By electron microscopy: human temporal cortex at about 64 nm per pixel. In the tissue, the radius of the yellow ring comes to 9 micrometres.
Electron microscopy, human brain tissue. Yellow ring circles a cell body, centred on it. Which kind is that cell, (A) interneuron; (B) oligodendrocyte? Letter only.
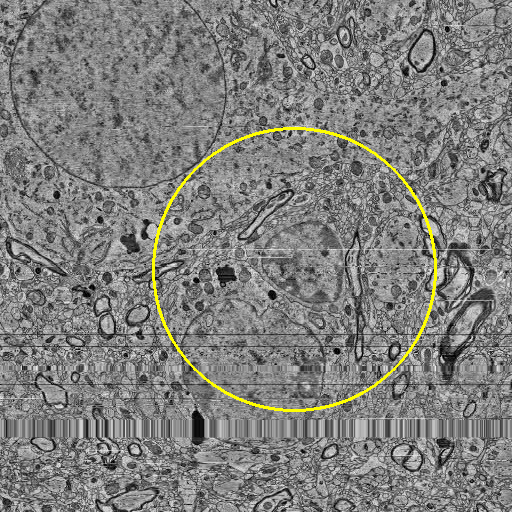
B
